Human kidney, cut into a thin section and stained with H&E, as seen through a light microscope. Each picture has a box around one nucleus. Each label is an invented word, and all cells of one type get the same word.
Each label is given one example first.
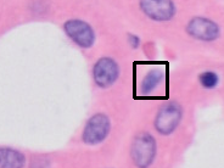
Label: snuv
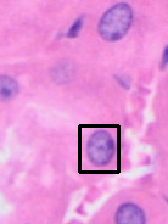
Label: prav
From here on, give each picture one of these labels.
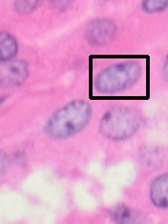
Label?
prav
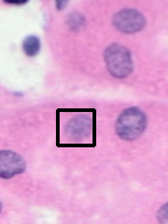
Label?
prav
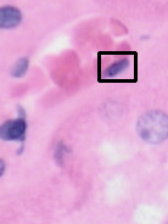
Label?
snuv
